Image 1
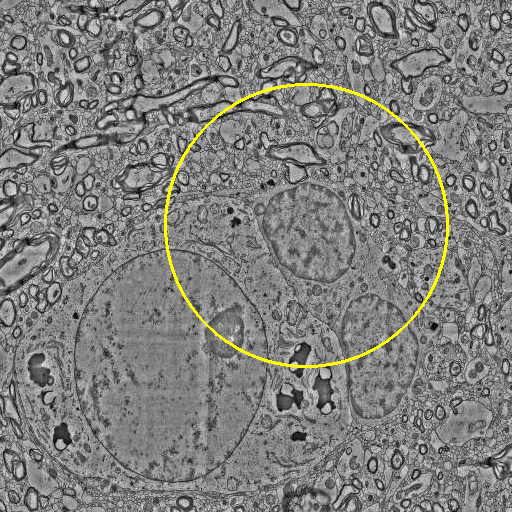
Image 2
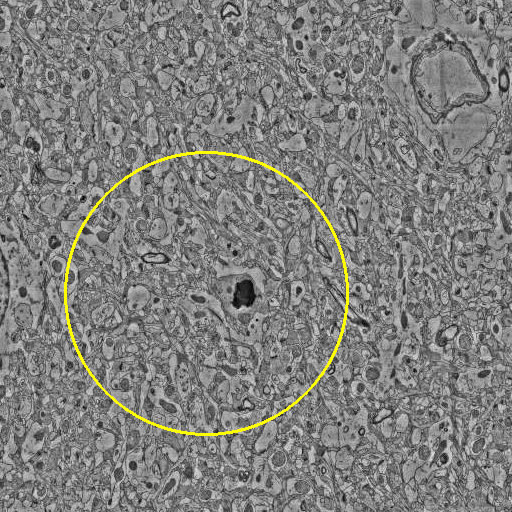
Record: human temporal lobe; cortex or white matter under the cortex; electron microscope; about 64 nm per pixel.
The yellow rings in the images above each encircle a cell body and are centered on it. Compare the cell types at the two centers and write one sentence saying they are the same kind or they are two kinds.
Taken together, the two cells at the ring centers are the same kind.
